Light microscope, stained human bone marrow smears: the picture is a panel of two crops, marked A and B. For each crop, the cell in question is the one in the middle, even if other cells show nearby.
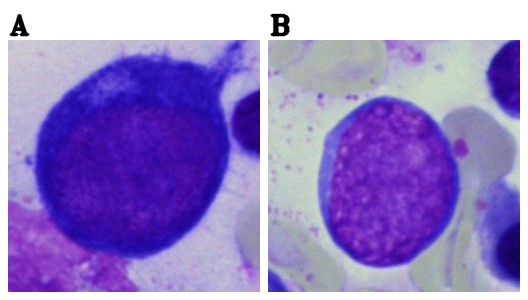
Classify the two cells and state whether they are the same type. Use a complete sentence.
Yes, the two crops both show proerythroblasts.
